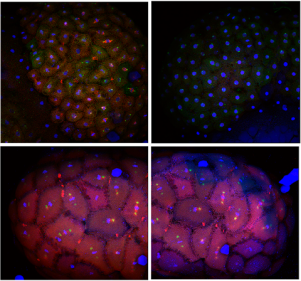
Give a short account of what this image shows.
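In the upper row the cells are small and numerous, each with one blue nucleus and small green dots nearby, arranged in an even polygonal array. In the lower row the cells are far fewer and much larger, with clearly outlined red polygonal cytoplasm and widely spaced blue nuclei. Some large, bright blue irregular bodies lie at the edge of the lower images.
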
